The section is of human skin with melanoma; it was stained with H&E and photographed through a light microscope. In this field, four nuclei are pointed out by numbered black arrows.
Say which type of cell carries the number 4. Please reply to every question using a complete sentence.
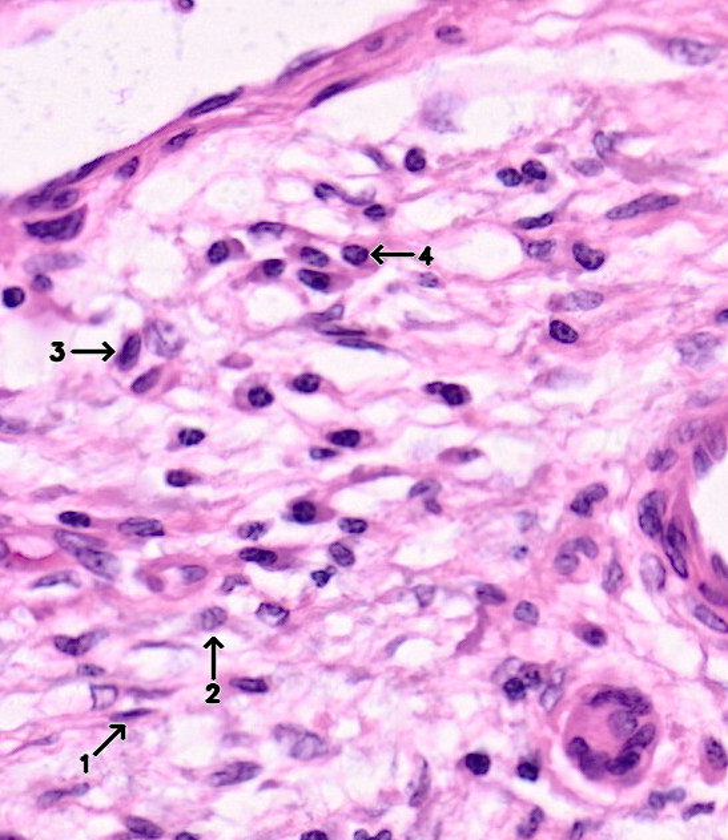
The cell whose nucleus carries the number 4 is a plasma cell.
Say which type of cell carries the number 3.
The cell pointed out as number 3 is a macrophage or monocyte.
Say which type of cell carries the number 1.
Among the marked cells, number 1 is a fibroblast or myofibroblast.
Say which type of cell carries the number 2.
The label 2 in this section denotes a macrophage or monocyte.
